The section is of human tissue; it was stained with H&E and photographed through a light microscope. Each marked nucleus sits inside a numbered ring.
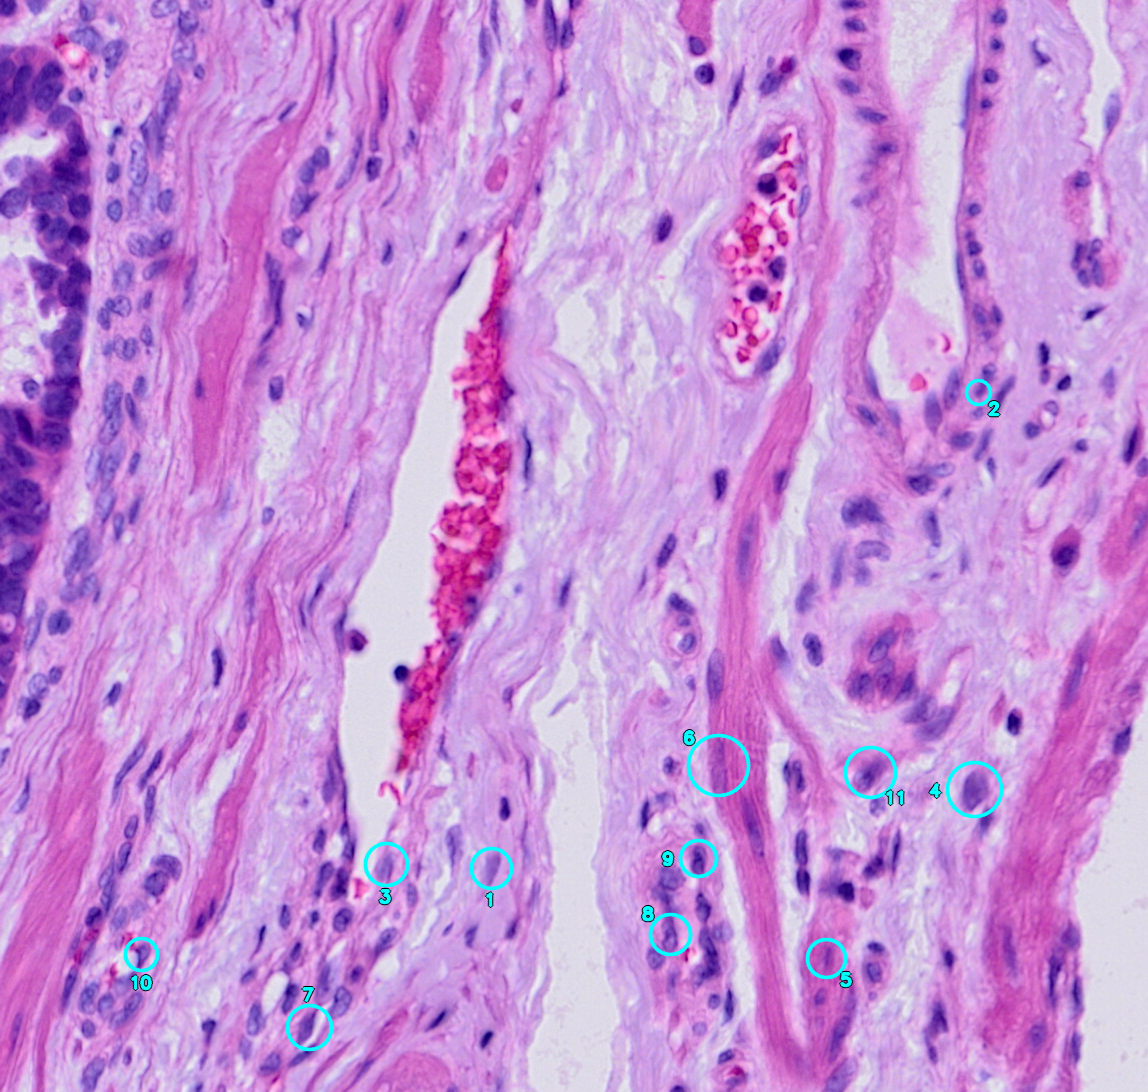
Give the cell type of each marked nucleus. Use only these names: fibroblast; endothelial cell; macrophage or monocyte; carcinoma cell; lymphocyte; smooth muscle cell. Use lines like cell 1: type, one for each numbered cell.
cell 1: fibroblast
cell 2: smooth muscle cell
cell 3: endothelial cell
cell 4: fibroblast
cell 5: smooth muscle cell
cell 6: smooth muscle cell
cell 7: endothelial cell
cell 8: endothelial cell
cell 9: endothelial cell
cell 10: endothelial cell
cell 11: endothelial cell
